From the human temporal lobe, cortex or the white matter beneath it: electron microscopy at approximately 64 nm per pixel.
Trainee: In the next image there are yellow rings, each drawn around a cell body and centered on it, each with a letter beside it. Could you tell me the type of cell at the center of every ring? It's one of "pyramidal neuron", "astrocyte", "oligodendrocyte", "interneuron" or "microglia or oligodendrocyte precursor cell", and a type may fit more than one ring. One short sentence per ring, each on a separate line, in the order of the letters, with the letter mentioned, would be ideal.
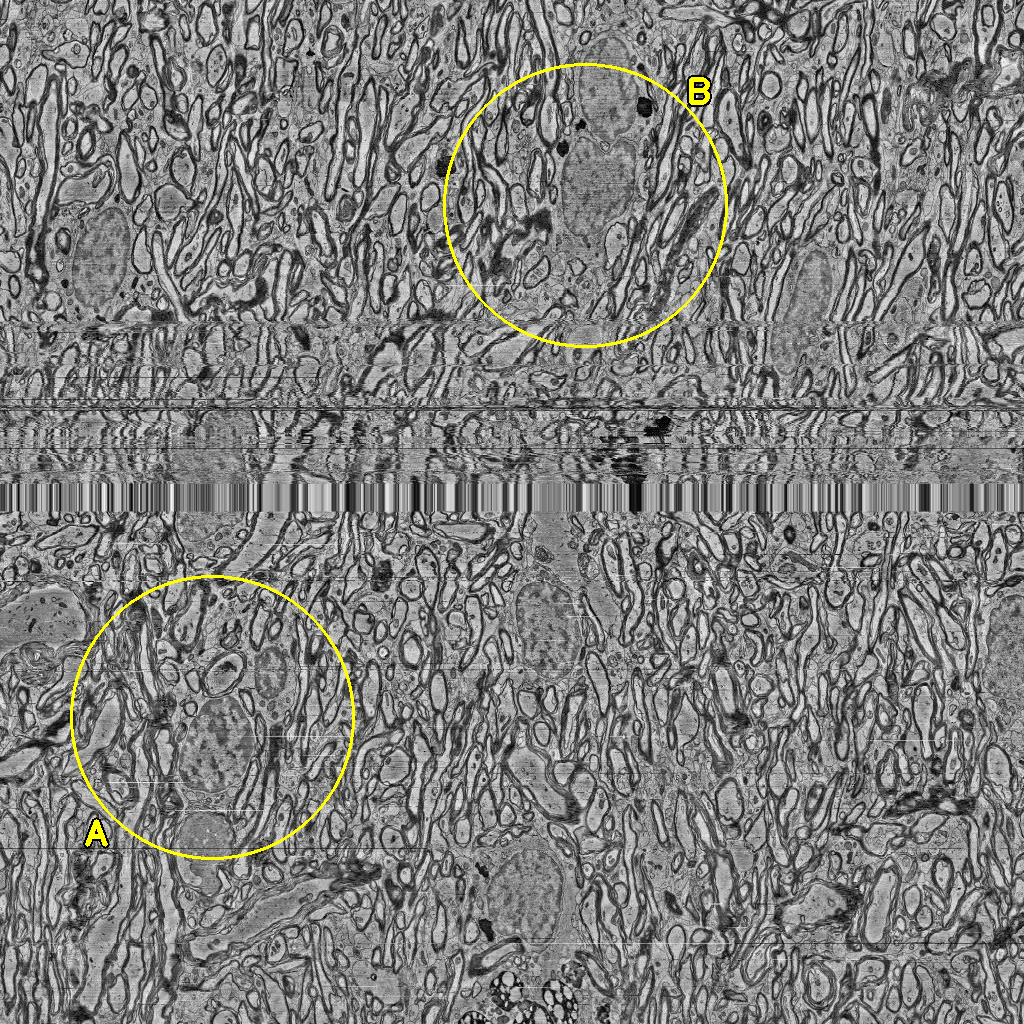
What ring A is centered on is a microglial cell or oligodendrocyte precursor cell.
What ring B is centered on is an oligodendrocyte.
